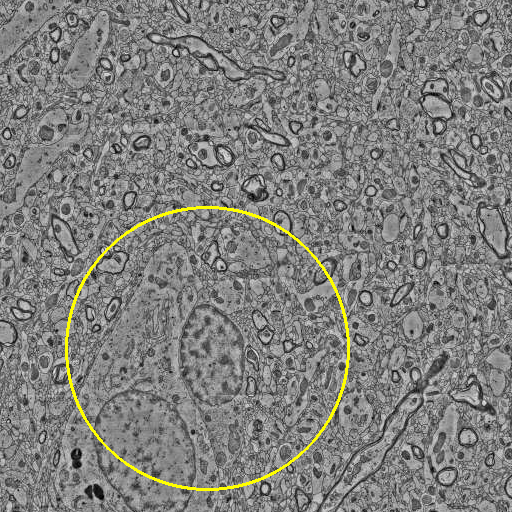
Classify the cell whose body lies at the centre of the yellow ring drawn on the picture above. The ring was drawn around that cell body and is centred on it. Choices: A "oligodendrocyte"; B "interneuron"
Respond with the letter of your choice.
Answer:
A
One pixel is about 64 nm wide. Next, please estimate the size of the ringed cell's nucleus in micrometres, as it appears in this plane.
Roughly 6 by 4 micrometres; in this plane, clearly longer than it is wide.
